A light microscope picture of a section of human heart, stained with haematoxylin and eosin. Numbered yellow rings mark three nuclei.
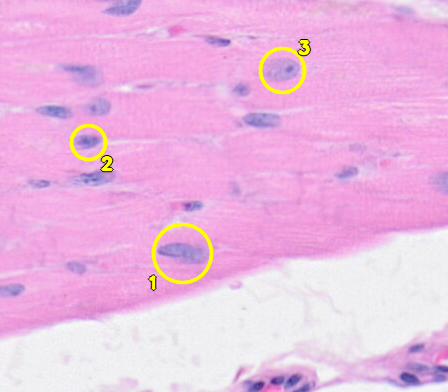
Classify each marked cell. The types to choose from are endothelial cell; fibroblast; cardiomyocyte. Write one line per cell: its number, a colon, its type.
1: cardiomyocyte
2: fibroblast
3: cardiomyocyte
